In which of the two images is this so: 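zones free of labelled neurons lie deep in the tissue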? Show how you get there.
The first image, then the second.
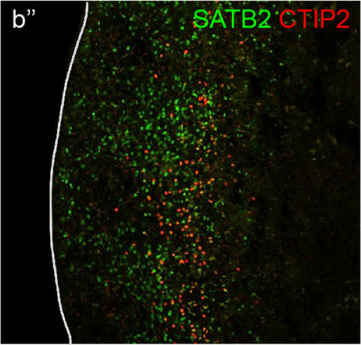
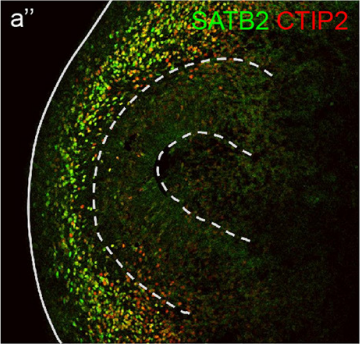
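Second image: a deep region outlined by dashed lines holds few labelled nuclei.
Answer: the second image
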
